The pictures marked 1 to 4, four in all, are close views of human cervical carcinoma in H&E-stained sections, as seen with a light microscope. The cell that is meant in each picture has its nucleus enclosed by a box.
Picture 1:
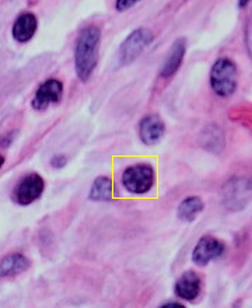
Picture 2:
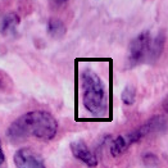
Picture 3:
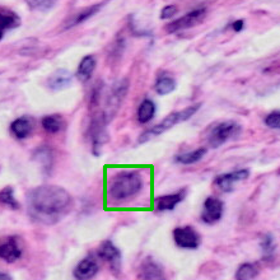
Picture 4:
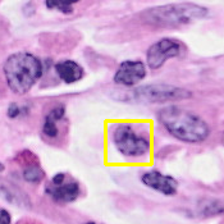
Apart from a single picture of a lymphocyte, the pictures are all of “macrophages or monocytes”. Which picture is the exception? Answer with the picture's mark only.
1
